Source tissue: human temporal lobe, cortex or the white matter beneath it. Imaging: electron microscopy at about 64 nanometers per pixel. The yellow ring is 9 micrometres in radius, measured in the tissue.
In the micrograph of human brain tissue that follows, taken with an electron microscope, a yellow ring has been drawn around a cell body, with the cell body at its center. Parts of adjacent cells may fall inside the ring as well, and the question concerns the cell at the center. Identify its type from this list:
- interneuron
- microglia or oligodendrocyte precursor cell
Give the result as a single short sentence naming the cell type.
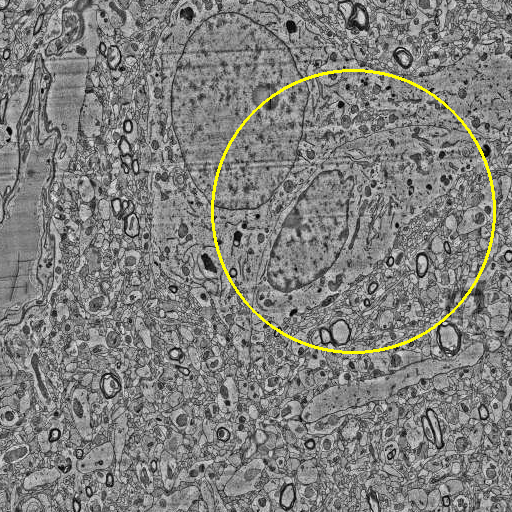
The ring is centered on a microglial cell or oligodendrocyte precursor cell.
